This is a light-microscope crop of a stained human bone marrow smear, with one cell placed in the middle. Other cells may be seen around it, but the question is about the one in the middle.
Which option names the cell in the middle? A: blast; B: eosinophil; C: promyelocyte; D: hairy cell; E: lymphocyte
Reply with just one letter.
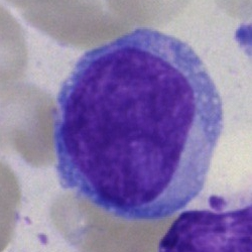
A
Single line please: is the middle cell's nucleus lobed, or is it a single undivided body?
The nucleus holds together as a single compact mass, round, oval or kidney-like.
